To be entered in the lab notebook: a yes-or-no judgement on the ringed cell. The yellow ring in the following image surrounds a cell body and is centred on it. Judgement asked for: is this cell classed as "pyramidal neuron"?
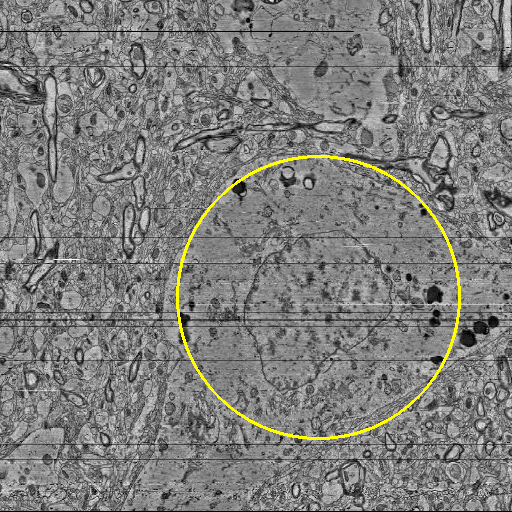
Yes, it is classed that way.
